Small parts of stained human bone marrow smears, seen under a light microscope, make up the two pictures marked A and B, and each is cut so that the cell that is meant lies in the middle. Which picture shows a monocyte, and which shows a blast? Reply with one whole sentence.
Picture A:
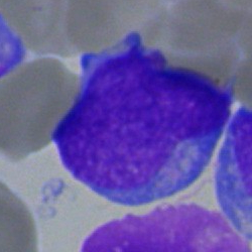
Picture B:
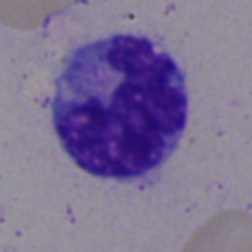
In picture A the cell is a blast; in picture B, a monocyte.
